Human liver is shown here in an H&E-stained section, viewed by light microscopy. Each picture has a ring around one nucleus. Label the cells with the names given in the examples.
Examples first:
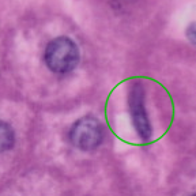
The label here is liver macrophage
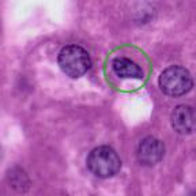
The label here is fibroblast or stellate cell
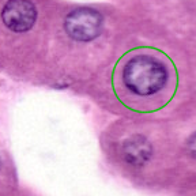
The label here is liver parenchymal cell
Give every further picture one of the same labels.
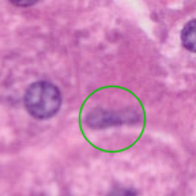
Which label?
liver macrophage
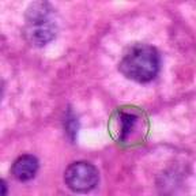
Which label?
fibroblast or stellate cell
